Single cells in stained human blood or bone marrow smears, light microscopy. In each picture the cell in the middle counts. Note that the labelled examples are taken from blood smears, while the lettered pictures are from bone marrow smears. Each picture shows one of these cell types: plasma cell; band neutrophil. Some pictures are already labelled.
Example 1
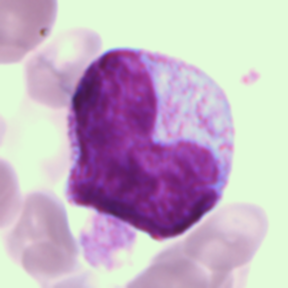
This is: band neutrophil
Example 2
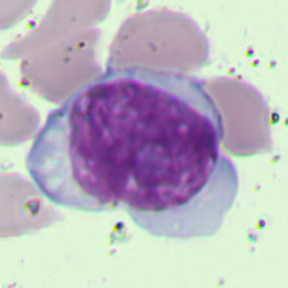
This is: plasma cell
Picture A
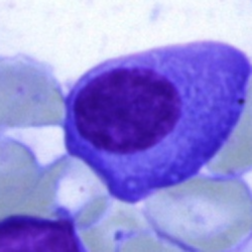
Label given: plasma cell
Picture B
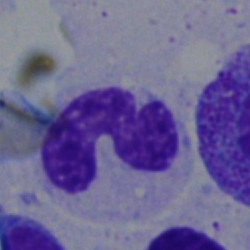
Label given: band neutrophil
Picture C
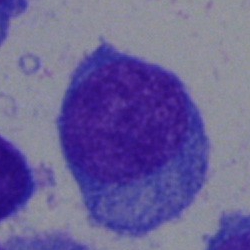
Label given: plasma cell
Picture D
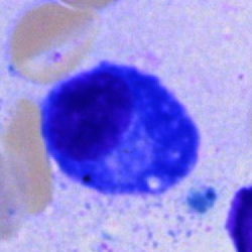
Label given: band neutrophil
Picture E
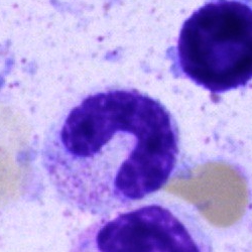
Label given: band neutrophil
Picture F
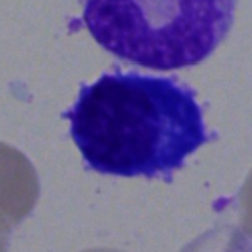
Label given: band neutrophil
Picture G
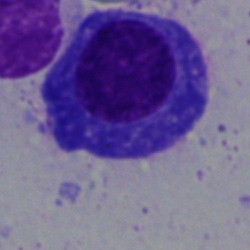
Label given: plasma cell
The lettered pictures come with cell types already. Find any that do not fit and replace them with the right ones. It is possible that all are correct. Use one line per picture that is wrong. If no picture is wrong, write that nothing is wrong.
Wrong: D (band neutrophil); correct: plasma cell
Wrong: F (band neutrophil); correct: plasma cell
